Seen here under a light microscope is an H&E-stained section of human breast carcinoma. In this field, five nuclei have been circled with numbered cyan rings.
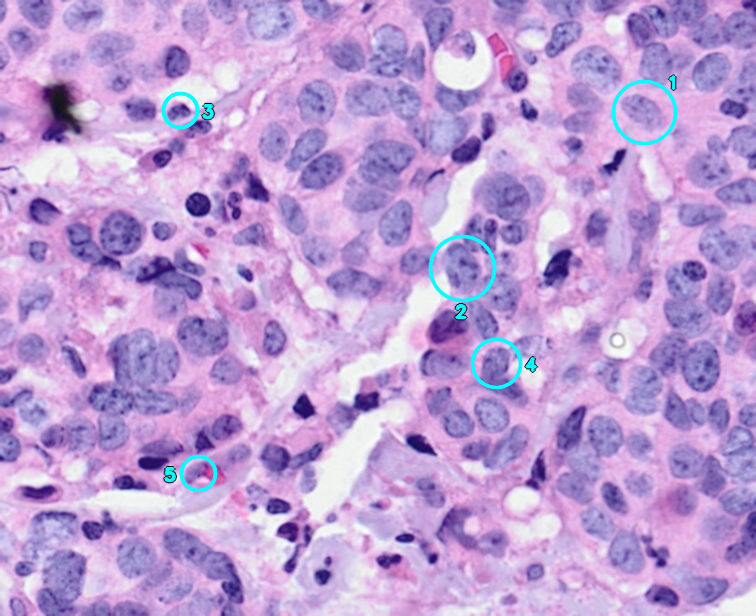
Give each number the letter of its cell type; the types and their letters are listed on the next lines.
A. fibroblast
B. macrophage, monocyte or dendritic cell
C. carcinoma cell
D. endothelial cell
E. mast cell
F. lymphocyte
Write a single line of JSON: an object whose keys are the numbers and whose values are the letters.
{"1": "C", "2": "C", "3": "F", "4": "C", "5": "D"}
